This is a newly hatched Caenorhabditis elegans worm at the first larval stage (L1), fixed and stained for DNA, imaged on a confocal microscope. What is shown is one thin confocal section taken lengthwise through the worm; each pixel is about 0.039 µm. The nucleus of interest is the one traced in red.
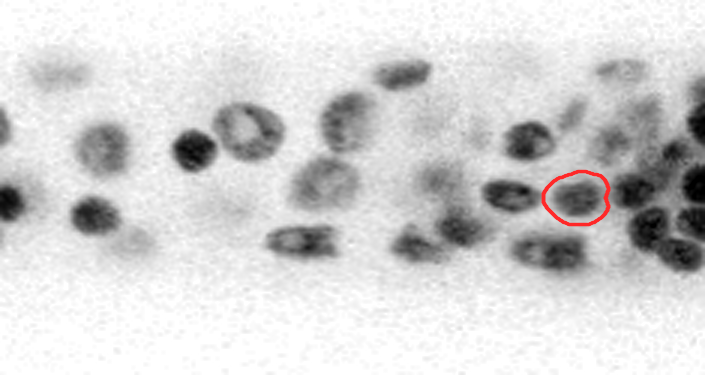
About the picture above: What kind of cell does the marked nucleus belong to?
pharyngeal muscle cell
